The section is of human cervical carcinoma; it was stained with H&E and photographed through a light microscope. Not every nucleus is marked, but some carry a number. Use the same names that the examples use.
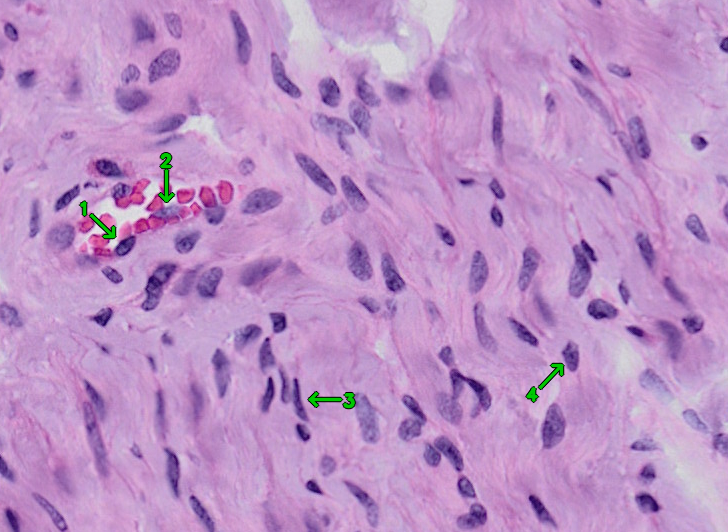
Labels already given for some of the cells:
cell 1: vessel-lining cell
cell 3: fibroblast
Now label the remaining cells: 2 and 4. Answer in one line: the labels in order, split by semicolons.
vessel-lining cell; fibroblast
